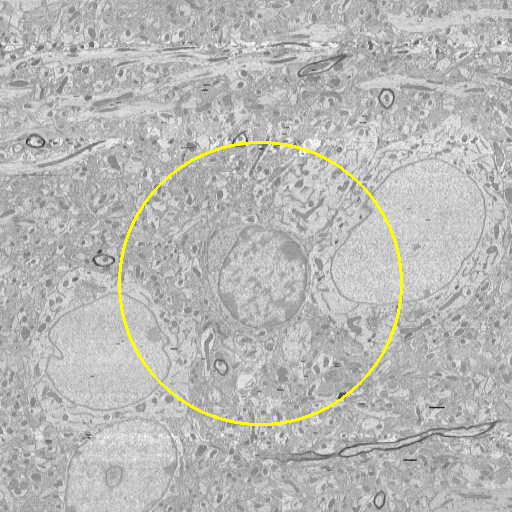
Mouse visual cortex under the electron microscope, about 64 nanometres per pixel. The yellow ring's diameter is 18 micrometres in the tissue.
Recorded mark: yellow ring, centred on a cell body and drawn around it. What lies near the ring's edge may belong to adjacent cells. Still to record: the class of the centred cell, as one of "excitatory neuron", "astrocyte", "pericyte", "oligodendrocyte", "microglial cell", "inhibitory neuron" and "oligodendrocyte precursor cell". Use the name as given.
oligodendrocyte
